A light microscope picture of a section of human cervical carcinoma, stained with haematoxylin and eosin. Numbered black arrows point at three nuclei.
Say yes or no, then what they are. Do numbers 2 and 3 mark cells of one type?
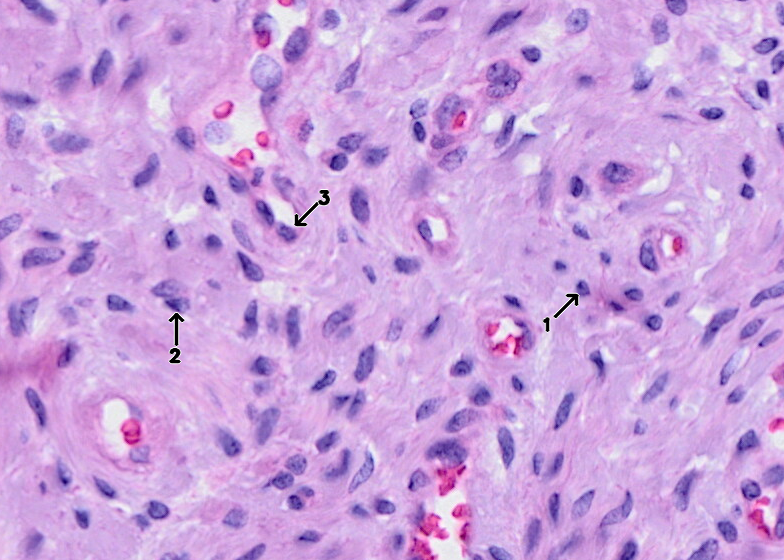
No, cell 2 is a fibroblast and cell 3 is an endothelial cell.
